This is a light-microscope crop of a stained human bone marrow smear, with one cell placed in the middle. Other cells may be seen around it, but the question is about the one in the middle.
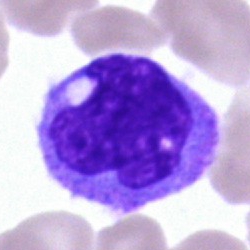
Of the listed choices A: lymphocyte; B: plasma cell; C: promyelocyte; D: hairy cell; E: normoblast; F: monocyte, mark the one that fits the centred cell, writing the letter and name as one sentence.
The best answer is option F, since the cell in the middle is a monocyte.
